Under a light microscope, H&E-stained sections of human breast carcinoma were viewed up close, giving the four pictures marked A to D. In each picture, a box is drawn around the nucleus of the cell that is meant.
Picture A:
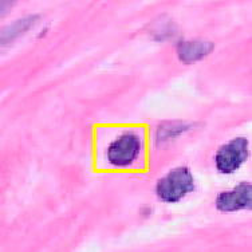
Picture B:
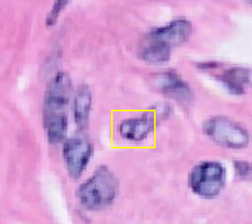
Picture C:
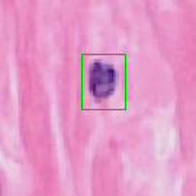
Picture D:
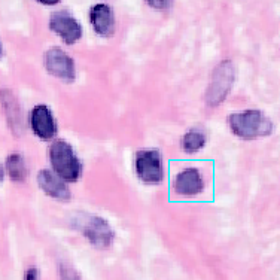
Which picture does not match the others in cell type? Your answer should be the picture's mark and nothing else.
B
